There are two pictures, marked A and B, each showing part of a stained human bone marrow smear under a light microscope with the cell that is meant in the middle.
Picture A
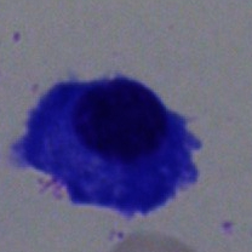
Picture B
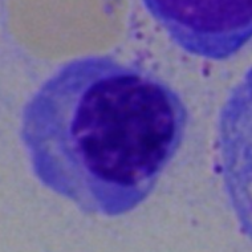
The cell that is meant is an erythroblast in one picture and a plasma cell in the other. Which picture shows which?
A: plasma cell
B: erythroblast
